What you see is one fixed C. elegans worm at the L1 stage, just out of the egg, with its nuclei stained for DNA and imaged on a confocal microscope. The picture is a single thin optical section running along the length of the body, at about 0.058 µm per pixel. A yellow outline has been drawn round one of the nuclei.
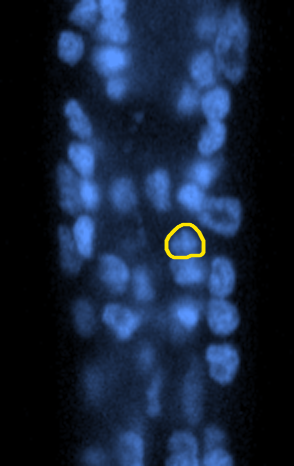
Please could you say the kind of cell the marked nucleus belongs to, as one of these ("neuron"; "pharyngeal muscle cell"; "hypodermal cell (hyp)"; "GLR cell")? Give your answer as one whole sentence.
The nucleus comes from a neuron.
